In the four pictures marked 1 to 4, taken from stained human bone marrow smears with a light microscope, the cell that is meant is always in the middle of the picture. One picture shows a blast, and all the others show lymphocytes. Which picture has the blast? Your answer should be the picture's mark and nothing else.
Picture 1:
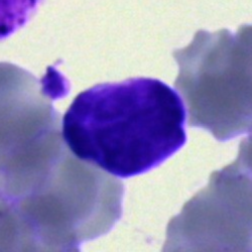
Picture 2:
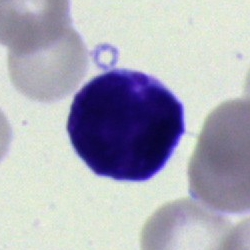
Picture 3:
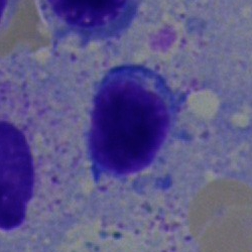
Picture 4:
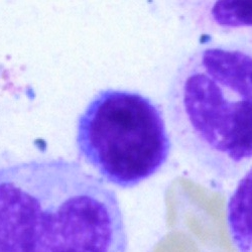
2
